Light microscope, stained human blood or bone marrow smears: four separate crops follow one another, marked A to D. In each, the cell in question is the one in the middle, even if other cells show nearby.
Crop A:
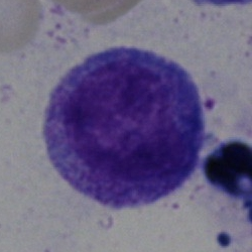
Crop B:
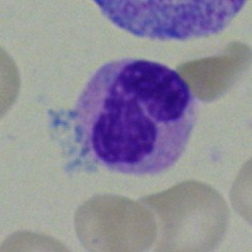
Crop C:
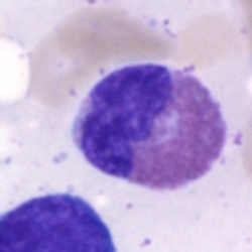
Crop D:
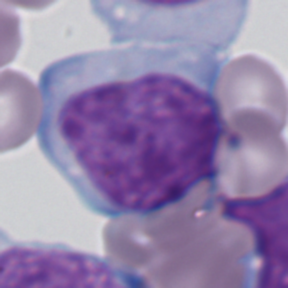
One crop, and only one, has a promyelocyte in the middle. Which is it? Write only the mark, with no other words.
A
